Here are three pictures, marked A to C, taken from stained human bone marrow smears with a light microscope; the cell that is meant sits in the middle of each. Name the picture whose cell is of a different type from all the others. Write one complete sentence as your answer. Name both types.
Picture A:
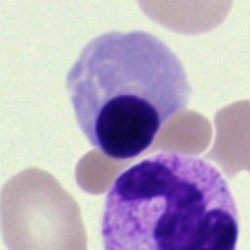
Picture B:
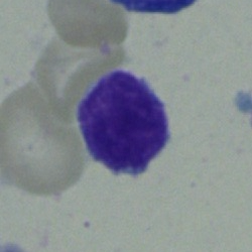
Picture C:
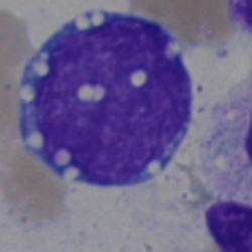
Picture A differs, because its cell is an erythroblast and the rest are blasts.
